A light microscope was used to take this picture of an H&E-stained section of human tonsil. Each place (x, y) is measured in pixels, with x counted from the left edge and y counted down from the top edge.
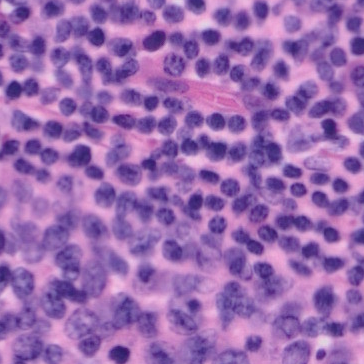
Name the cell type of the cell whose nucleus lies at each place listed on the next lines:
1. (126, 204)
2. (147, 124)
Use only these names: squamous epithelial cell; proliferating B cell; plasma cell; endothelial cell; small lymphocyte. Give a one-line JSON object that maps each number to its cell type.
{"1": "proliferating B cell", "2": "small lymphocyte"}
